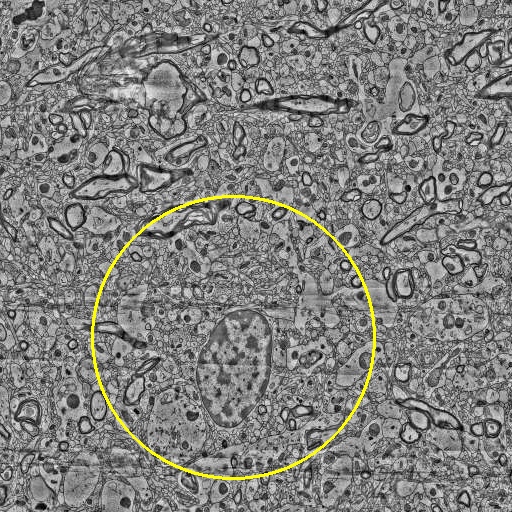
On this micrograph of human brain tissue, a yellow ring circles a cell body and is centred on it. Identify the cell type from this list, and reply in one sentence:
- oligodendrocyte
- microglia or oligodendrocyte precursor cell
The cell at the centre is a microglial cell or oligodendrocyte precursor cell.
